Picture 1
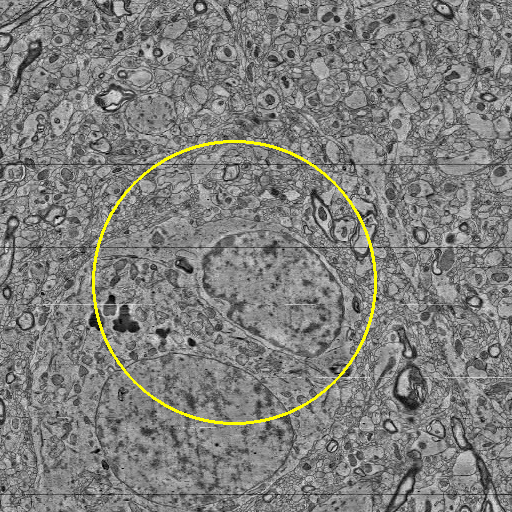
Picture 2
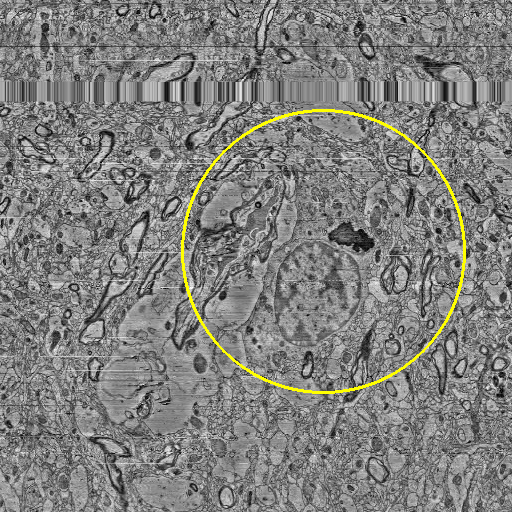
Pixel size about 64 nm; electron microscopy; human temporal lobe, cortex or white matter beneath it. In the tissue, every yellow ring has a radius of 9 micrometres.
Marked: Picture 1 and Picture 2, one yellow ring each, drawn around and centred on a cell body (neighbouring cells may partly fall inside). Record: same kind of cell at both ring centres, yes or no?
no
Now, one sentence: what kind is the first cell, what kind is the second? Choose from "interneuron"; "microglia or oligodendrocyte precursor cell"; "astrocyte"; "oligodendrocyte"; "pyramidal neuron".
The first picture has a microglial cell or oligodendrocyte precursor cell at its ring centre, and the second has an oligodendrocyte.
